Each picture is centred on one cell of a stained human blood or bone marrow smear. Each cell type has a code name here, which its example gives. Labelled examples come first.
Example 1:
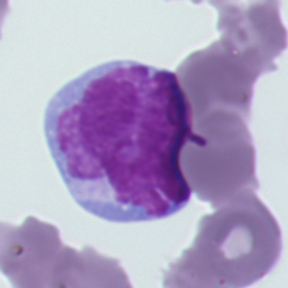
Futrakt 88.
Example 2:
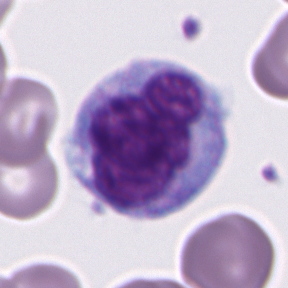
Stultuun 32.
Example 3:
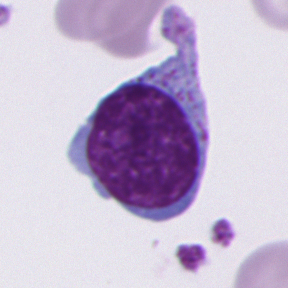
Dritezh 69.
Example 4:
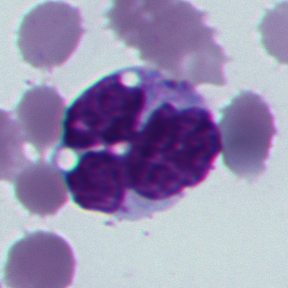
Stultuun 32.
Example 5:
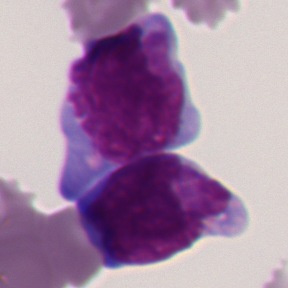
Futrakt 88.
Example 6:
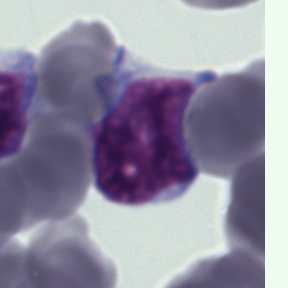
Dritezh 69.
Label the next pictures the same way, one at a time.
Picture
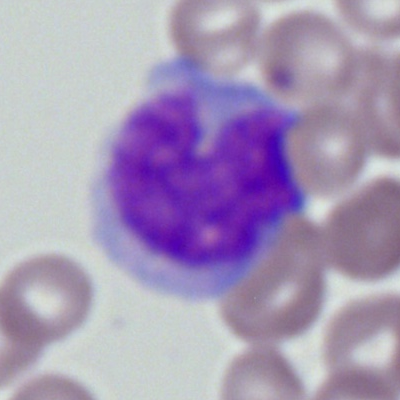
Stultuun 32.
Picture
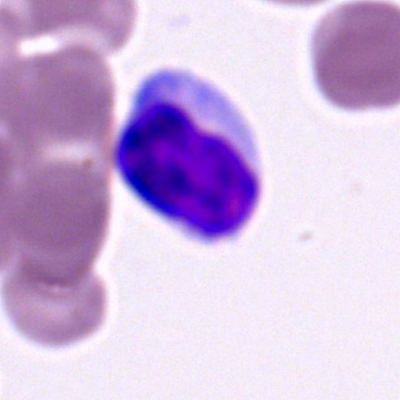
Dritezh 69.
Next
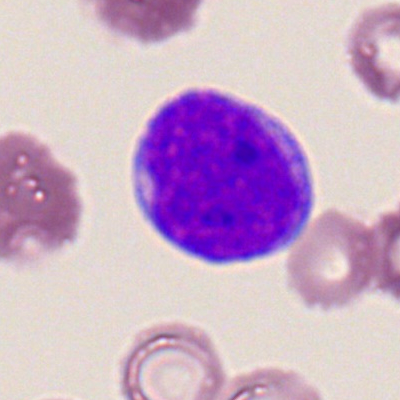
Futrakt 88.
